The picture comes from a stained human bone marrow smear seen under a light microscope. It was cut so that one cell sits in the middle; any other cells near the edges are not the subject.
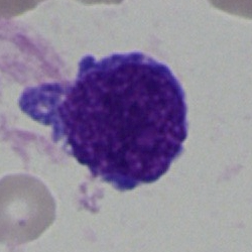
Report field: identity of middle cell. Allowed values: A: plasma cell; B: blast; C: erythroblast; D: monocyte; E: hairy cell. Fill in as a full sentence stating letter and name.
It is a blast that occupies the centre of the crop, so option B is correct.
